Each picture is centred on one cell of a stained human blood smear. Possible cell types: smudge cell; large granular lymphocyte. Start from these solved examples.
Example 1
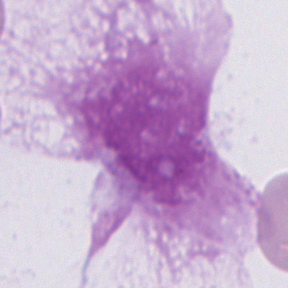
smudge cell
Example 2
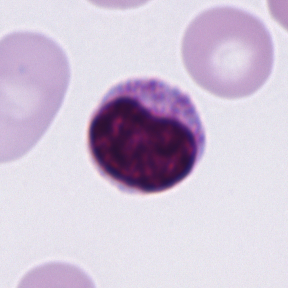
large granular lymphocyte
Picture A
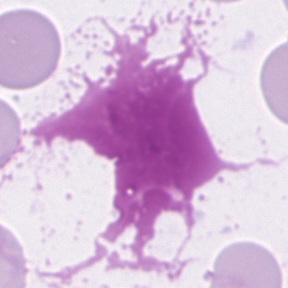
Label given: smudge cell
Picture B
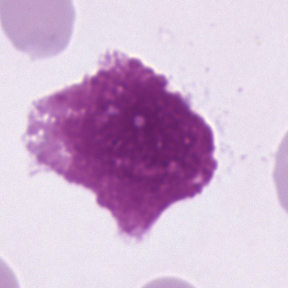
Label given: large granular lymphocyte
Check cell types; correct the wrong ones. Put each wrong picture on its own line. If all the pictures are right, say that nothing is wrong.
B should be smudge cell, not large granular lymphocyte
